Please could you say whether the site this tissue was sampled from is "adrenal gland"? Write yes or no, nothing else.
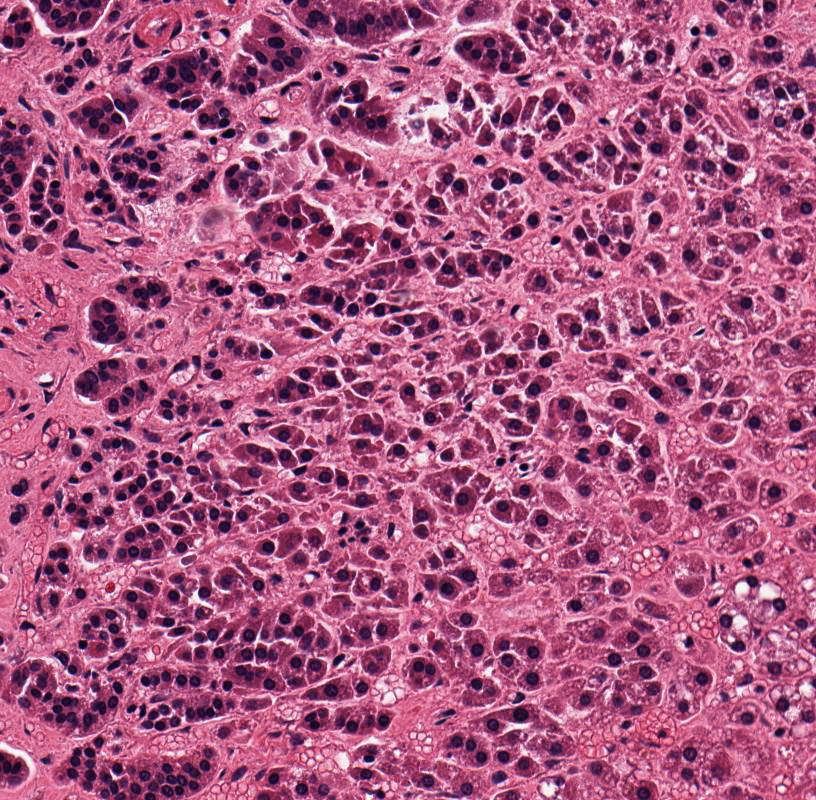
yes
